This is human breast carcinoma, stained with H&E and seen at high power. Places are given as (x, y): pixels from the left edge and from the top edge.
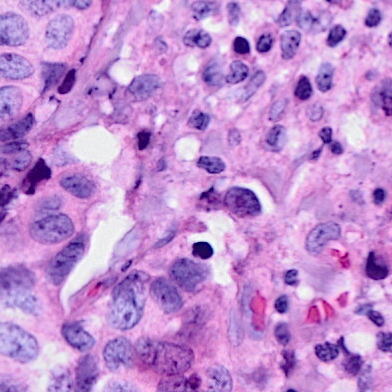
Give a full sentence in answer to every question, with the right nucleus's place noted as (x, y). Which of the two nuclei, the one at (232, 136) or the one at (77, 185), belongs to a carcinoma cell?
In this pair, the nucleus at (77, 185) belongs to a carcinoma cell.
